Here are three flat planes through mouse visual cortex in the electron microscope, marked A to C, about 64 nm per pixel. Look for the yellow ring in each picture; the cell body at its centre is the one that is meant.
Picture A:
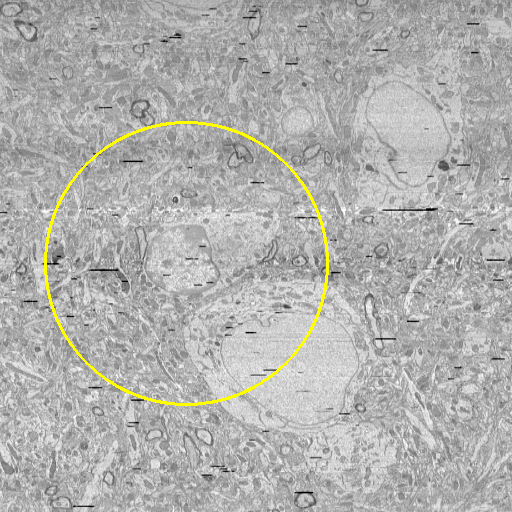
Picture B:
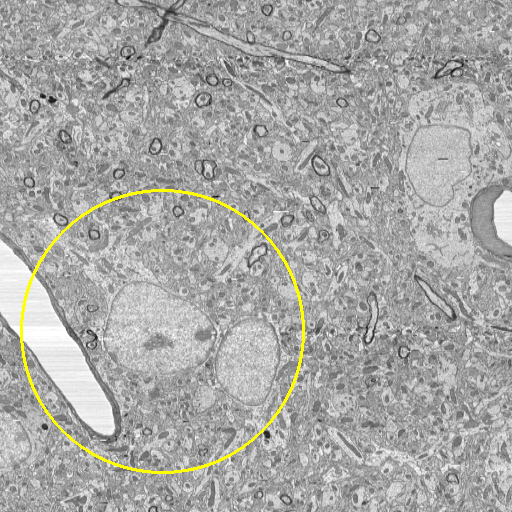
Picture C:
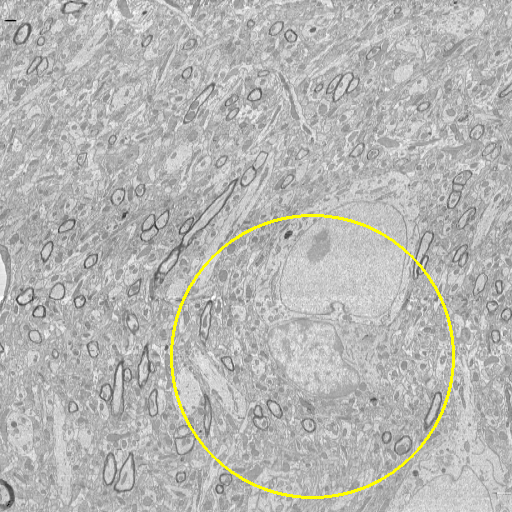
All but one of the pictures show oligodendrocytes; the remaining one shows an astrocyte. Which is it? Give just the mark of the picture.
B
